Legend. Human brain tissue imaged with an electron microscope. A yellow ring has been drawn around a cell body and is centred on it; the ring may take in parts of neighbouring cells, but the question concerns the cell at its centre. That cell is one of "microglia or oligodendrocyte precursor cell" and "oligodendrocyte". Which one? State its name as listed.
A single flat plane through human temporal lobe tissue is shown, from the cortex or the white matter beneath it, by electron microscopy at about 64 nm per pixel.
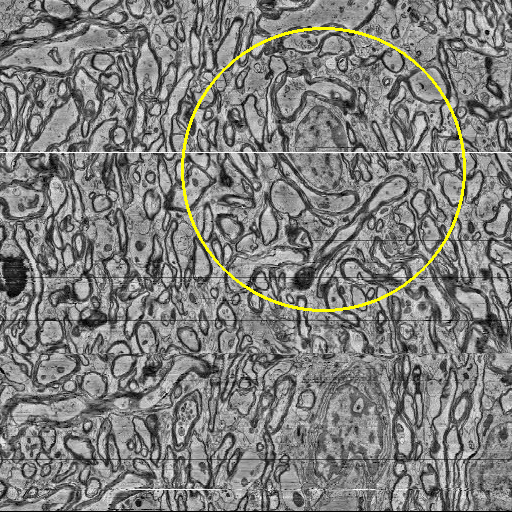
microglia or oligodendrocyte precursor cell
